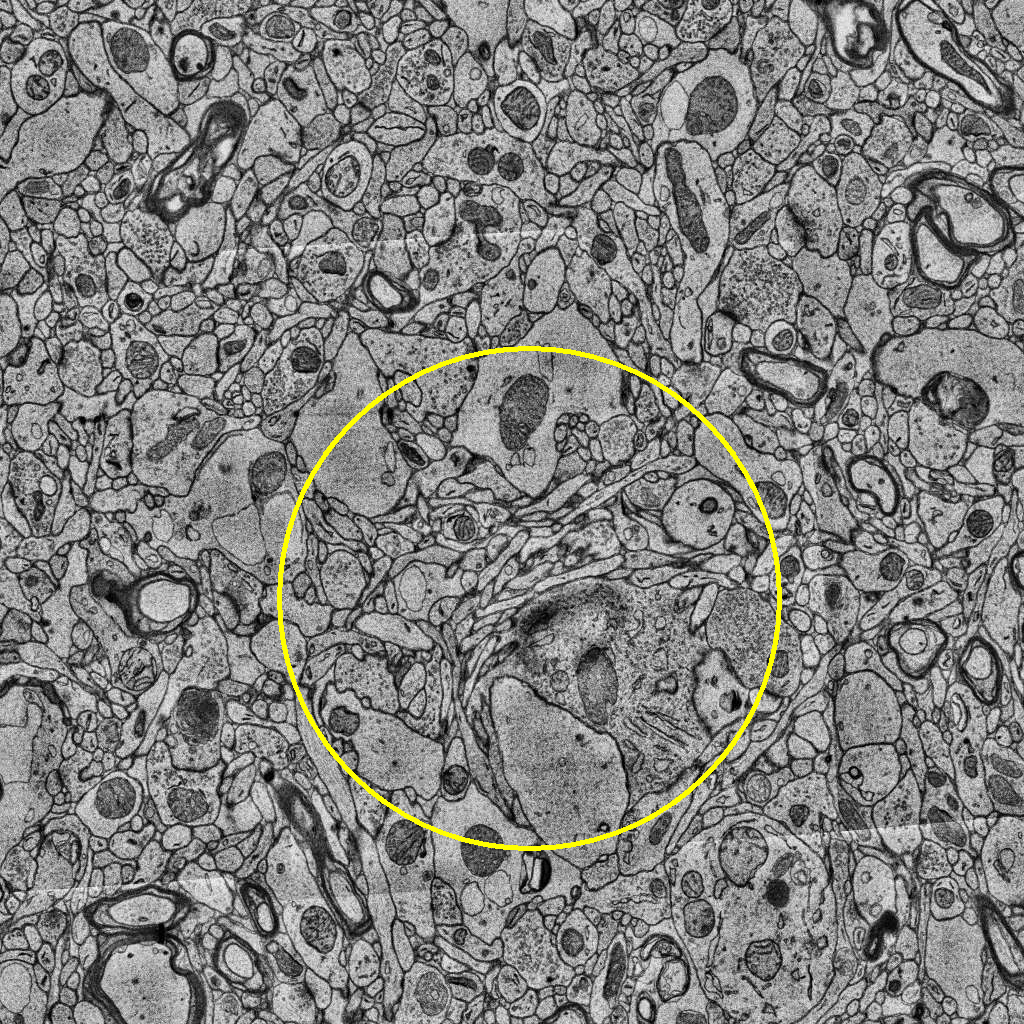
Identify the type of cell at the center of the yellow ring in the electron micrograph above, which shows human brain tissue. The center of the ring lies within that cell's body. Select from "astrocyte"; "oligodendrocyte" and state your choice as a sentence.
The center of the yellow ring lies in the body of an oligodendrocyte.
